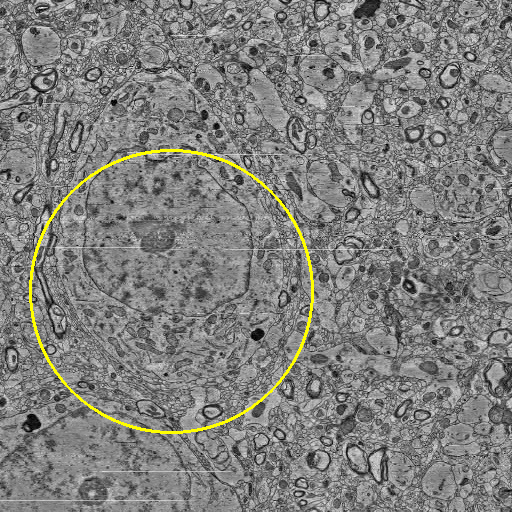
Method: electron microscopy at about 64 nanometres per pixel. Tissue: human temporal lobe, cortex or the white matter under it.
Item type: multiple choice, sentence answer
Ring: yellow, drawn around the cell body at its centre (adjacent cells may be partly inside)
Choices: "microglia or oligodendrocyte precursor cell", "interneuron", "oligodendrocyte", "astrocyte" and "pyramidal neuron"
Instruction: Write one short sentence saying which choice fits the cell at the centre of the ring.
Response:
This ring is drawn around an interneuron.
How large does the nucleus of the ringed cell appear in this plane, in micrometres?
In this plane the nucleus spans approximately 12 by 11 micrometers.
